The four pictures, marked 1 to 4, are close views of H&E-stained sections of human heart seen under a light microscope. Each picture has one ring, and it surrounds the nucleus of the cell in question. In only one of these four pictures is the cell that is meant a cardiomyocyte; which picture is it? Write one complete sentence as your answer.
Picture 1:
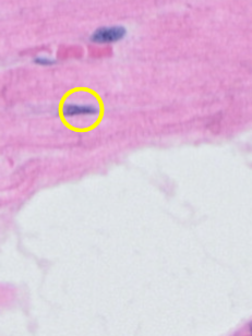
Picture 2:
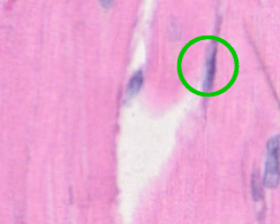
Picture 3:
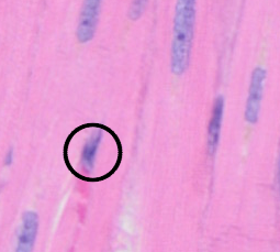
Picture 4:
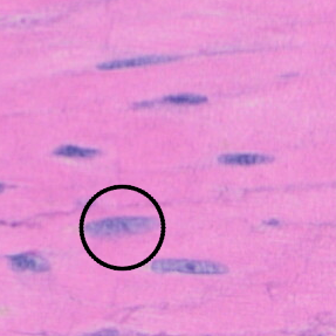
Picture 4 shows the cardiomyocyte.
